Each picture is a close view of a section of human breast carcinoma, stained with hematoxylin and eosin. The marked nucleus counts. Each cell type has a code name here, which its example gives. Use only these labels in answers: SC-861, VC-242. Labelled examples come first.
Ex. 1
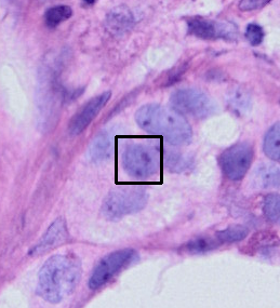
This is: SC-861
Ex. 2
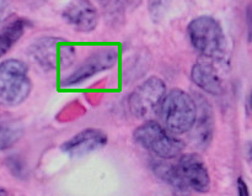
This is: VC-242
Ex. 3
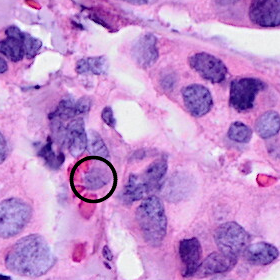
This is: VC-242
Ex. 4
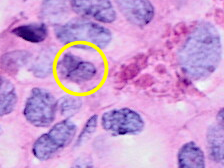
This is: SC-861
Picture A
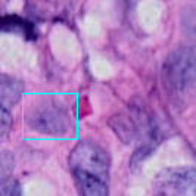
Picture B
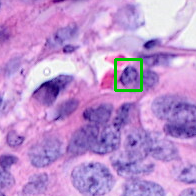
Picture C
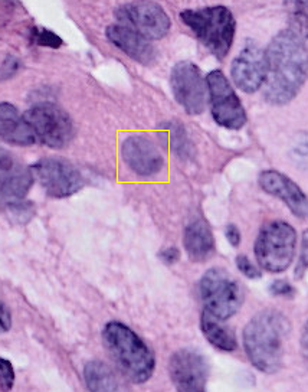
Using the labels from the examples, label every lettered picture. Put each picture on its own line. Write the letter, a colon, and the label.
A: SC-861
B: VC-242
C: SC-861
